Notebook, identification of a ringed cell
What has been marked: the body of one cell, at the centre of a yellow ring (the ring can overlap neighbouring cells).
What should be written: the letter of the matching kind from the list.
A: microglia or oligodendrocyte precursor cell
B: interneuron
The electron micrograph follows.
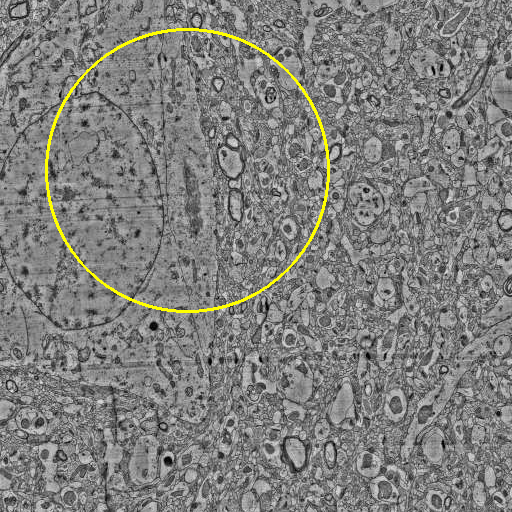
A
